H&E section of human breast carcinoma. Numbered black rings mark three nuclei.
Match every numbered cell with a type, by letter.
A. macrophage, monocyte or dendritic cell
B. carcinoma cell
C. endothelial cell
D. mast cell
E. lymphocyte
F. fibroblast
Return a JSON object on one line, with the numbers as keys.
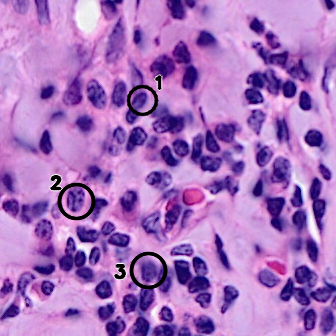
{"1": "E", "2": "D", "3": "E"}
